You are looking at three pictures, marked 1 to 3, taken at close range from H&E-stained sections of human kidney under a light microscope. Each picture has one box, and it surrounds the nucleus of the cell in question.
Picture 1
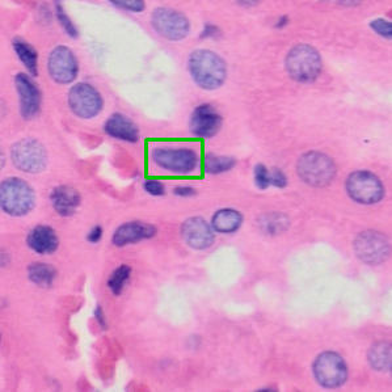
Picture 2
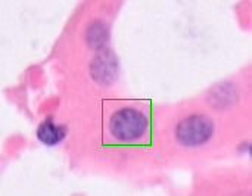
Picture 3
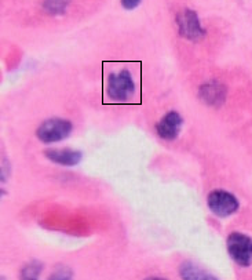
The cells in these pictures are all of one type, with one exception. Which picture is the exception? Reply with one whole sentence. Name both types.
The different one is picture 1; it shows a collecting duct cell, whereas all the others show “loop of Henle or distal tubule cells”.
